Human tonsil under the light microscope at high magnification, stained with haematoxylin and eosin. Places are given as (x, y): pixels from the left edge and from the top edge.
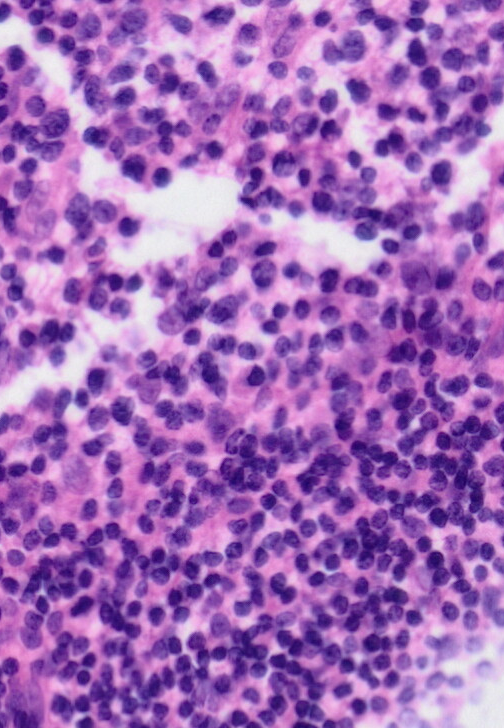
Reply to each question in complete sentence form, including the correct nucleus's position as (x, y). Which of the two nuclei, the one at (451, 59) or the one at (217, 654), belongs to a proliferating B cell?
Heads up, the nucleus at (451, 59) is the one that belongs to a proliferating B cell.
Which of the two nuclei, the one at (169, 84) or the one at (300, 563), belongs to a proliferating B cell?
The nucleus situated at (169, 84) is the one belonging to a proliferating B cell.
